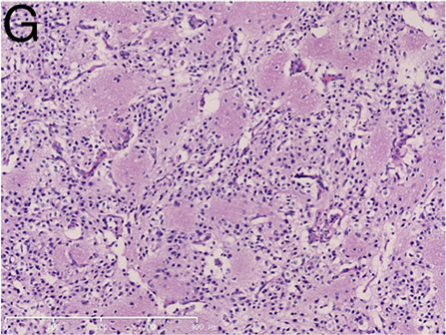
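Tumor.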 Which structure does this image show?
neuropil-like islands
